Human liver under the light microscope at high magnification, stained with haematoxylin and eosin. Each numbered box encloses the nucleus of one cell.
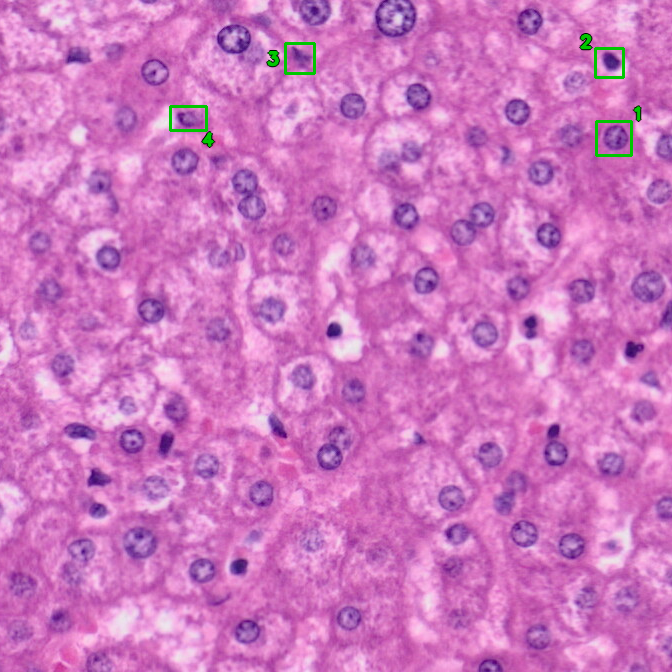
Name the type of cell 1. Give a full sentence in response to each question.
The cell that bears the number 1 is a hepatocyte.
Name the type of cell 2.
The cell that goes by number 2 is a lymphocyte.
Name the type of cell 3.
The cell pointed out as number 3 is an endothelial cell.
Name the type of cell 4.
Cell 4 in the field is a Kupffer cell.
